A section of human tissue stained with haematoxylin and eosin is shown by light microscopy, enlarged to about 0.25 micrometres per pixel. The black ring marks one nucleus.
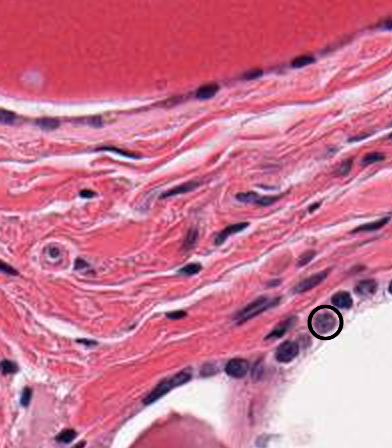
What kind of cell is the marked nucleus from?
thyroid follicular cell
